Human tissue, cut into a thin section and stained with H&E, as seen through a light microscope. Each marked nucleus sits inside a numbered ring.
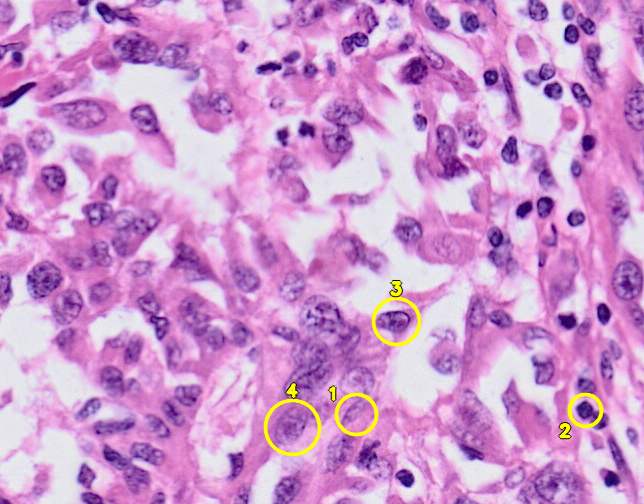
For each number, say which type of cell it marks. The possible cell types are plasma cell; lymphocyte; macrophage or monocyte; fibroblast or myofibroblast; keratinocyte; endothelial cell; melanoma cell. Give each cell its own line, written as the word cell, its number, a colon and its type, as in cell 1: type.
cell 1: melanoma cell
cell 2: lymphocyte
cell 3: melanoma cell
cell 4: melanoma cell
